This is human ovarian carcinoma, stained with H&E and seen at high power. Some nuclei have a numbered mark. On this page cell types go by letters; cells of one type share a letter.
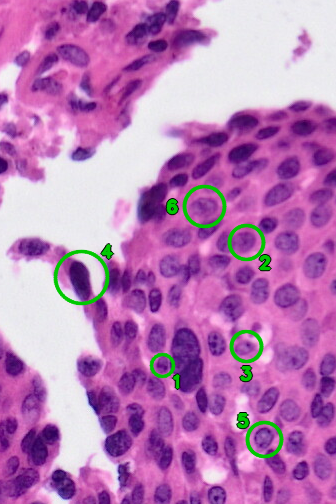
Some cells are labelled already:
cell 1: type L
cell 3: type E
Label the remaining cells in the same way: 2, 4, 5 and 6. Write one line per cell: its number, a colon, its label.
2: type L
4: type L
5: type E
6: type L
